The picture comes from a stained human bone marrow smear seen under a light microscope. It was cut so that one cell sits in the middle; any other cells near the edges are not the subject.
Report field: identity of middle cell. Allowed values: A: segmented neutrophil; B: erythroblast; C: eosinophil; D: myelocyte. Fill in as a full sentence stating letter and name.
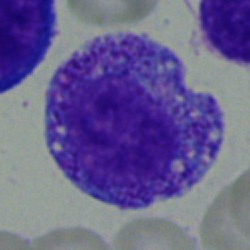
For this crop, option D is right, the centered cell being a myelocyte.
